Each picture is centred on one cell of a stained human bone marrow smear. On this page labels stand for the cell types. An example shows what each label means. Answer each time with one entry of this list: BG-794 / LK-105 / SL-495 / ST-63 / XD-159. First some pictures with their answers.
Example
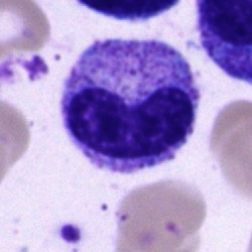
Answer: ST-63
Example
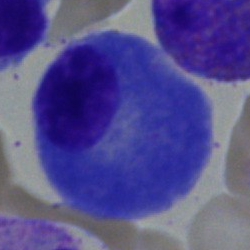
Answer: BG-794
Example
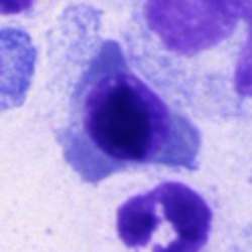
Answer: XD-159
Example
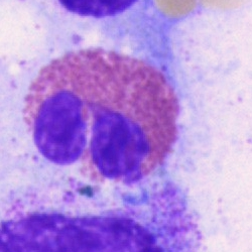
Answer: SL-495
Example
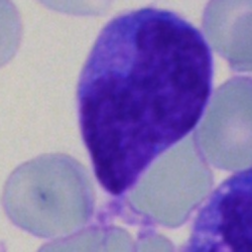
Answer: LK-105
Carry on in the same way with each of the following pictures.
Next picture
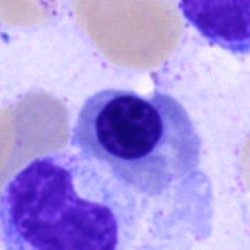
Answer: XD-159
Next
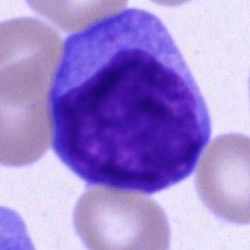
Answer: LK-105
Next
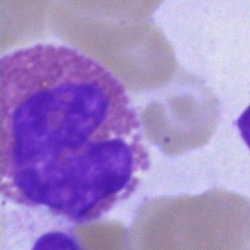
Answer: SL-495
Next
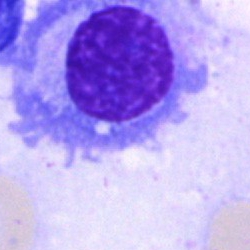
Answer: BG-794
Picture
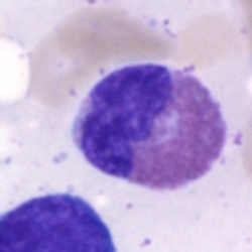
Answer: SL-495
